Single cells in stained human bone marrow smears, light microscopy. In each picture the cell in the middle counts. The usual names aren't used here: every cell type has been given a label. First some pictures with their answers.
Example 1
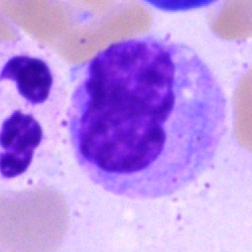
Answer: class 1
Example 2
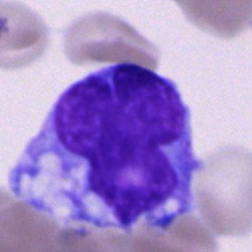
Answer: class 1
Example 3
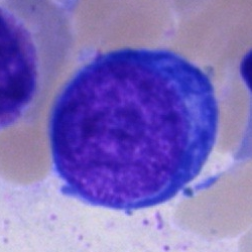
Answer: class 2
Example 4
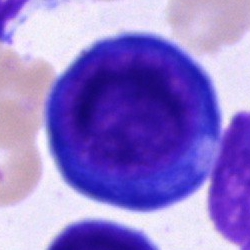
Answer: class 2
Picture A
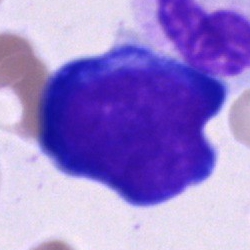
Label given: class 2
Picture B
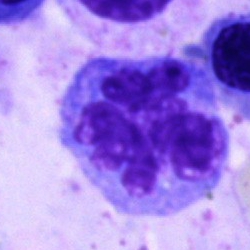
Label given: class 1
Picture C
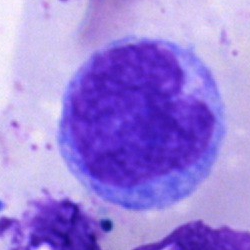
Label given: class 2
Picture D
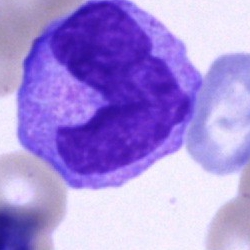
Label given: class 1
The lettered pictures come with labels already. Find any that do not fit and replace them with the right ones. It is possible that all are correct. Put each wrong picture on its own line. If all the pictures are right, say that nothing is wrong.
C is labelled class 2; correct label: class 1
